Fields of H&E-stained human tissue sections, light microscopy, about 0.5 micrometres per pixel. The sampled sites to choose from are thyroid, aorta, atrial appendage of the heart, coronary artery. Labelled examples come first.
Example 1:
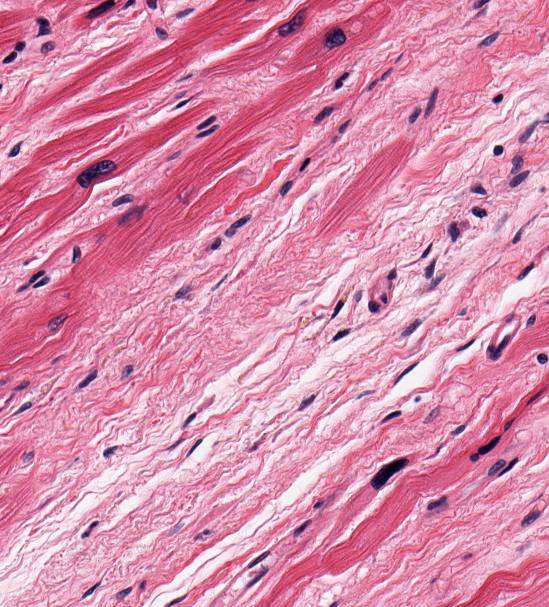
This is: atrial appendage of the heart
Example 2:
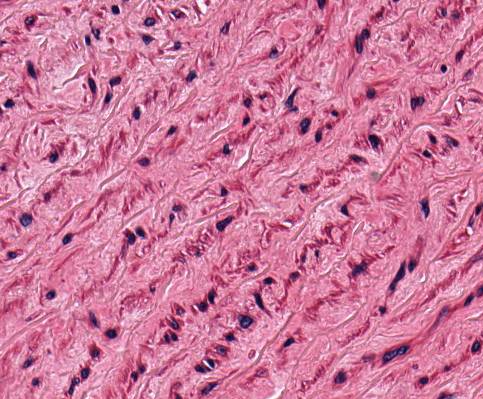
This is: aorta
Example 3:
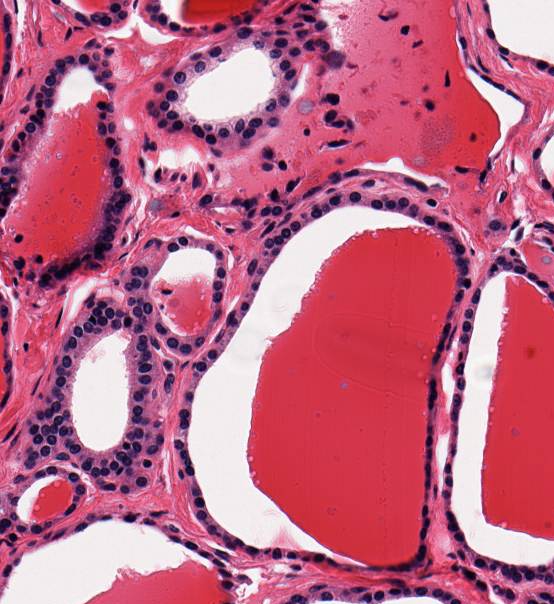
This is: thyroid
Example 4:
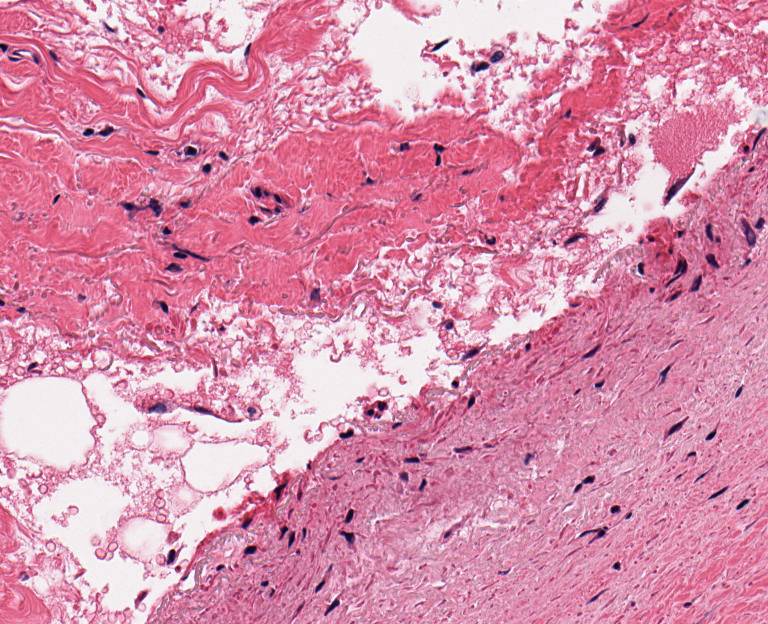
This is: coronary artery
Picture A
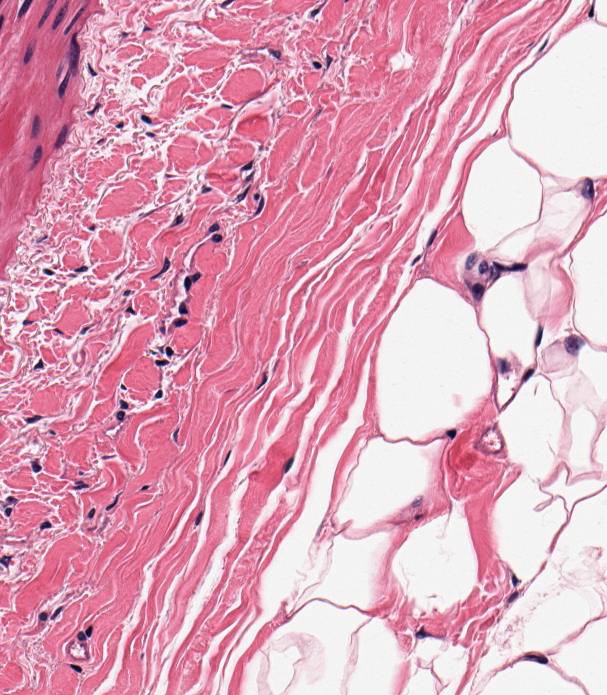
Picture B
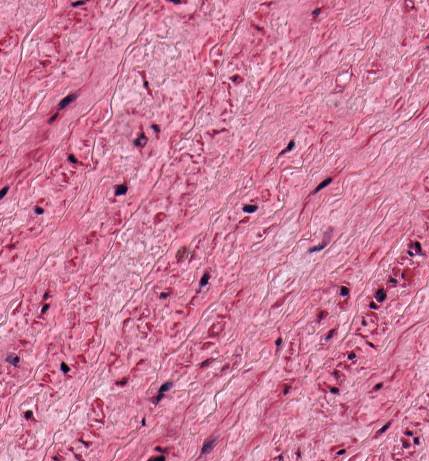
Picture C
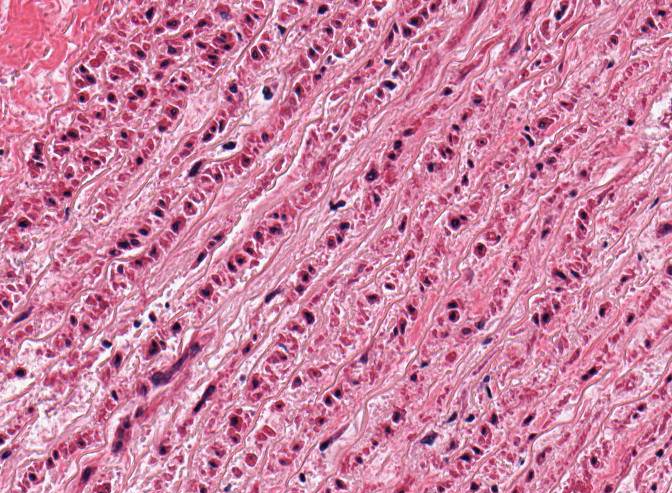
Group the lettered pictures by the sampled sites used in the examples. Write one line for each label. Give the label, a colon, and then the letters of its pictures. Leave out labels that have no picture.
aorta: B, C
coronary artery: A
